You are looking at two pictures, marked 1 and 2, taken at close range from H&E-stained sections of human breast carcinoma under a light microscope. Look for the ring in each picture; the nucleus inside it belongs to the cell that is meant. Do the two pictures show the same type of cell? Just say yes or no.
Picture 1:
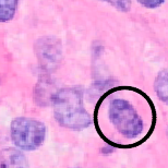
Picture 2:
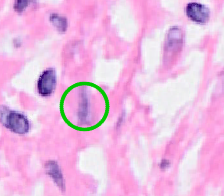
no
